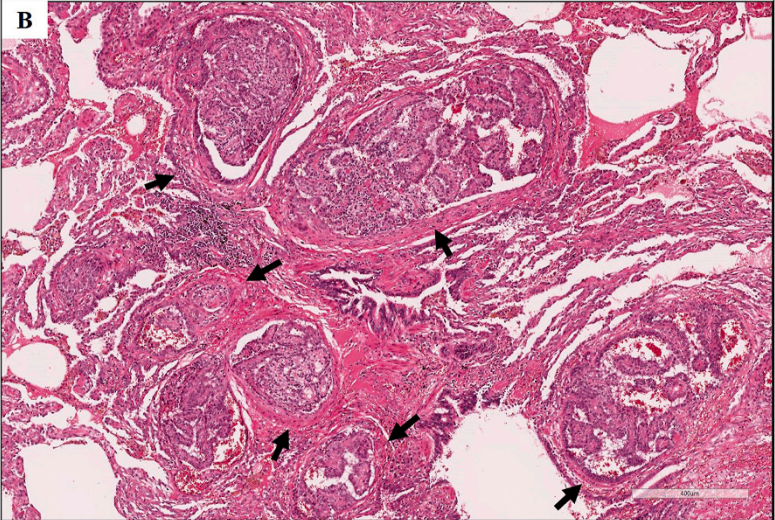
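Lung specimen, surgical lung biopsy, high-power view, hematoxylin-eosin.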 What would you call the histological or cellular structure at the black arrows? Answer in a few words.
Muscle layer of the arteries.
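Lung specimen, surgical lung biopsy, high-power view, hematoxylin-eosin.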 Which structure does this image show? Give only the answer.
papillary or glandular structures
